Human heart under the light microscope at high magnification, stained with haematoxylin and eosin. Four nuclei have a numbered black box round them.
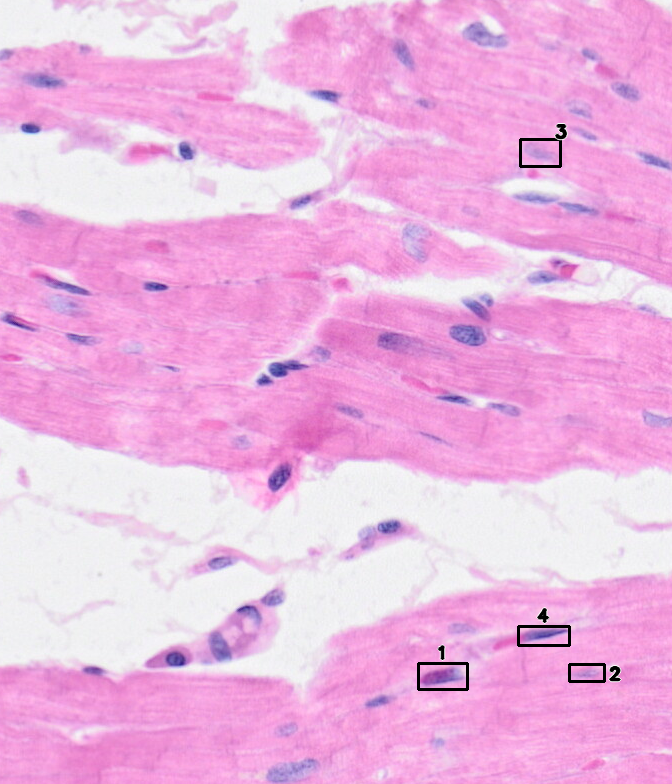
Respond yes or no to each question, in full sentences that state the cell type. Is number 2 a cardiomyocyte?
Yes, within this section, cell number 2 is a cardiomyocyte.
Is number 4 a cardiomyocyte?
No, cell 4 isn't a cardiomyocyte; it's an endothelial cell.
